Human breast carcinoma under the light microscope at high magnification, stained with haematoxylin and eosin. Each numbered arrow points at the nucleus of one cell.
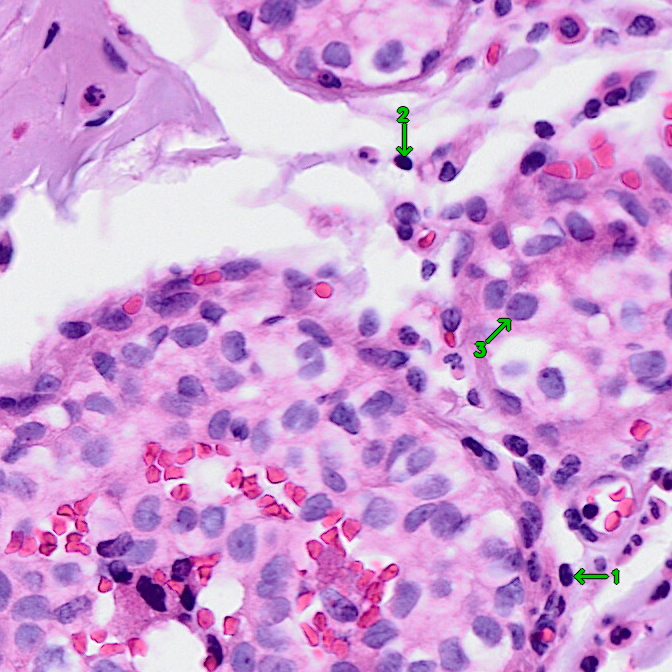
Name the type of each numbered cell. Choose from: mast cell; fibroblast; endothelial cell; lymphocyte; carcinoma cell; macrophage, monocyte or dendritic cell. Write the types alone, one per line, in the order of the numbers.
lymphocyte
lymphocyte
carcinoma cell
